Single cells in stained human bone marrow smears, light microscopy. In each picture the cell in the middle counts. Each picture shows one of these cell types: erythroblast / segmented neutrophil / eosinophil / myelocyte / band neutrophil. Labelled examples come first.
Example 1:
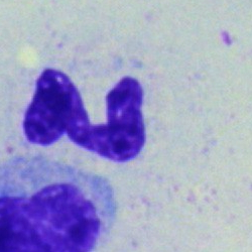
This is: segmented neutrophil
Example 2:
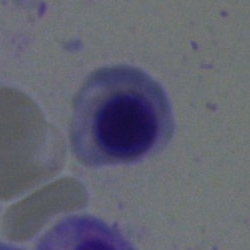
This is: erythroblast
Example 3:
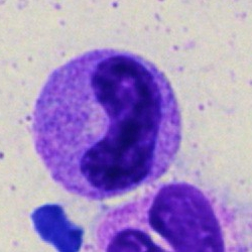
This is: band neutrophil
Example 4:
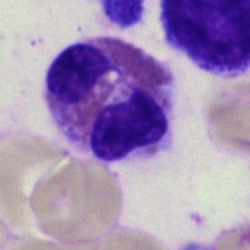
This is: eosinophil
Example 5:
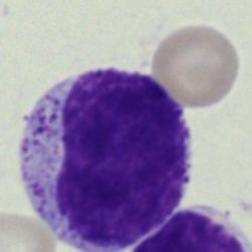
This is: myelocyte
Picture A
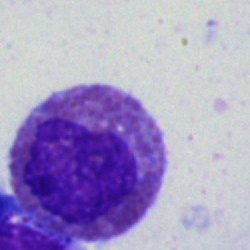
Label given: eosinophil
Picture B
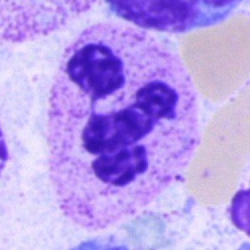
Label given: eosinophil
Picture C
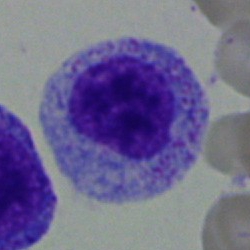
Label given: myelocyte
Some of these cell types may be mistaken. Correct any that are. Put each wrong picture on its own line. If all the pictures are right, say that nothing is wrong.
B: change eosinophil to segmented neutrophil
